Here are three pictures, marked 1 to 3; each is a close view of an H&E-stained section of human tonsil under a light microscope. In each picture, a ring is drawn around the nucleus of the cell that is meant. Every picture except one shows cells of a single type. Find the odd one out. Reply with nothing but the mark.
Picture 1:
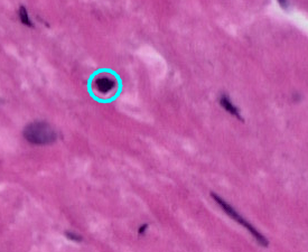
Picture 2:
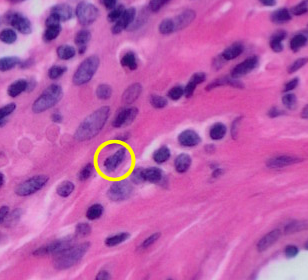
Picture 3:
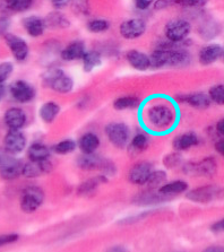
3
